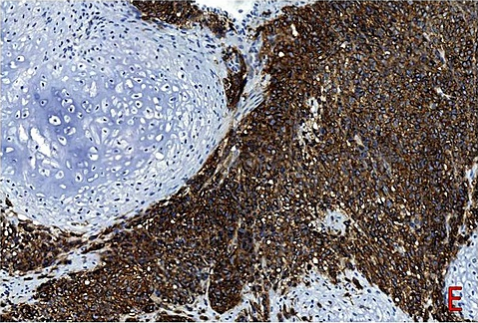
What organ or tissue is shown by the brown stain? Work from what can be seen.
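Epithelioid areas. Diffuse brown stain across the cellular sheets. The cartilage nodule at the upper left is blue and unstained.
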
